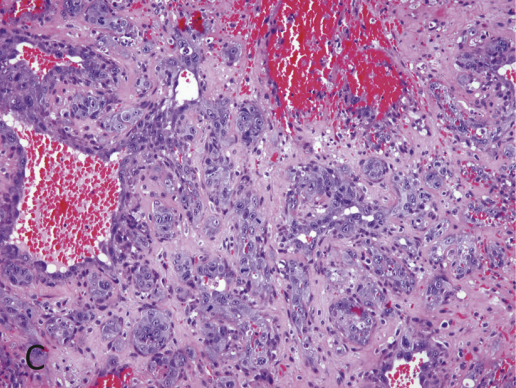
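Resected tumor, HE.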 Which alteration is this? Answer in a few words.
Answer: stromal hemorrhage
